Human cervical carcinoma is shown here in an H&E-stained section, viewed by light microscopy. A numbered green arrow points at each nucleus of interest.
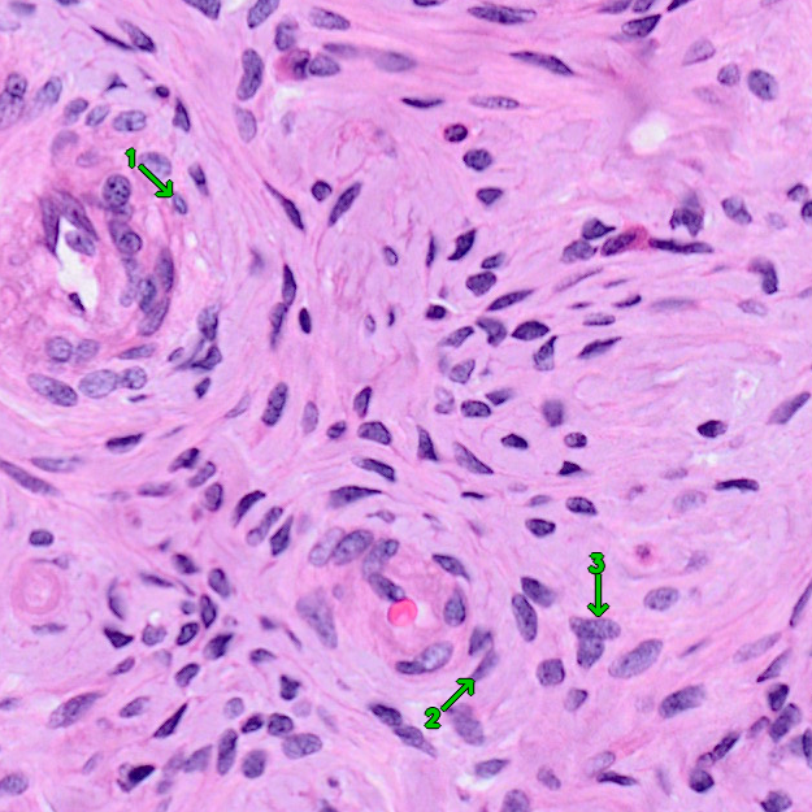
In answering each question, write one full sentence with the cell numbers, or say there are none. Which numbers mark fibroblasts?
The cells that bear the numbers 2 and 3 are fibroblasts.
